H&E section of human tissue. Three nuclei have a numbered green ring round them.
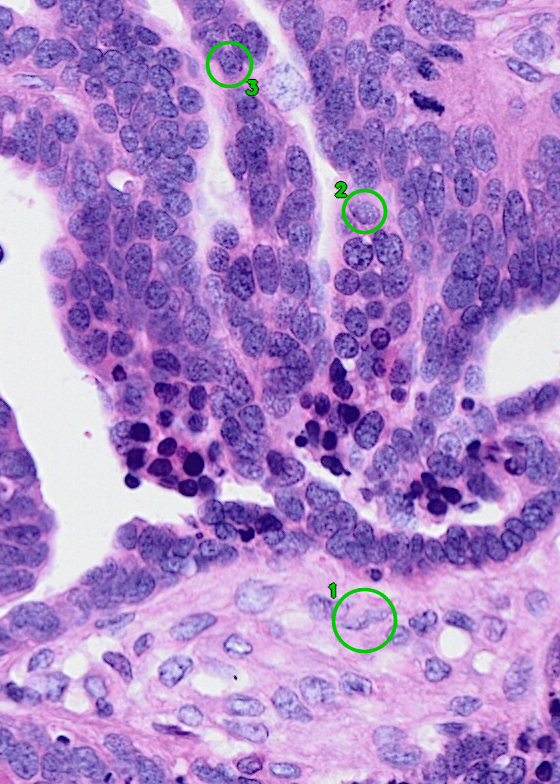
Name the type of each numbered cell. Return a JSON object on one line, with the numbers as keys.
{"1": "fibroblast", "2": "carcinoma cell", "3": "carcinoma cell"}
